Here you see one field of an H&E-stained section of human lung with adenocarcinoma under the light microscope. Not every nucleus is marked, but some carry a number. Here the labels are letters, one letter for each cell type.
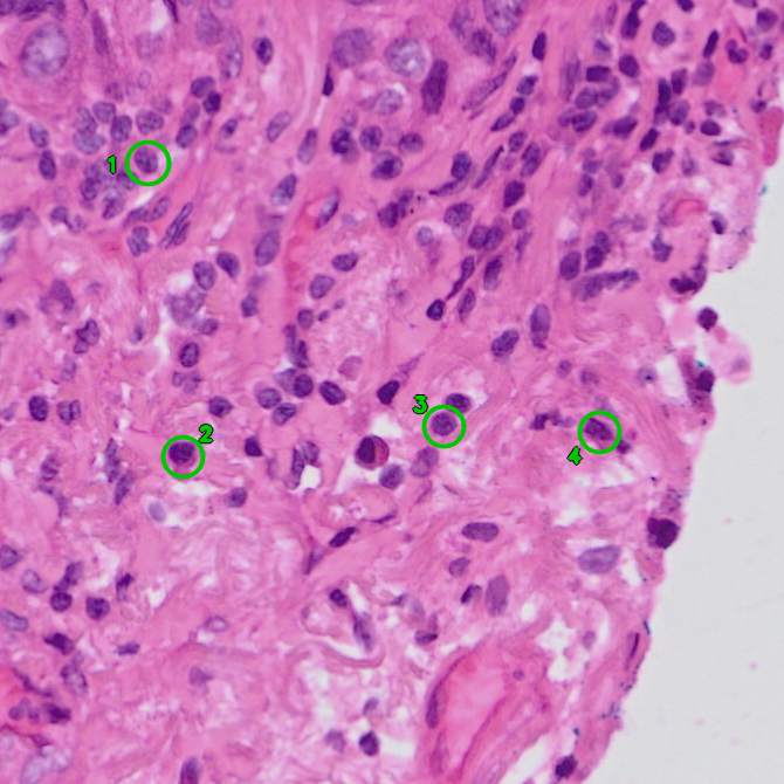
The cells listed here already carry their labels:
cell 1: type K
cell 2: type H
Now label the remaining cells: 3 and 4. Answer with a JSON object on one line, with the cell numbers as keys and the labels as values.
{"3": "type K", "4": "type H"}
